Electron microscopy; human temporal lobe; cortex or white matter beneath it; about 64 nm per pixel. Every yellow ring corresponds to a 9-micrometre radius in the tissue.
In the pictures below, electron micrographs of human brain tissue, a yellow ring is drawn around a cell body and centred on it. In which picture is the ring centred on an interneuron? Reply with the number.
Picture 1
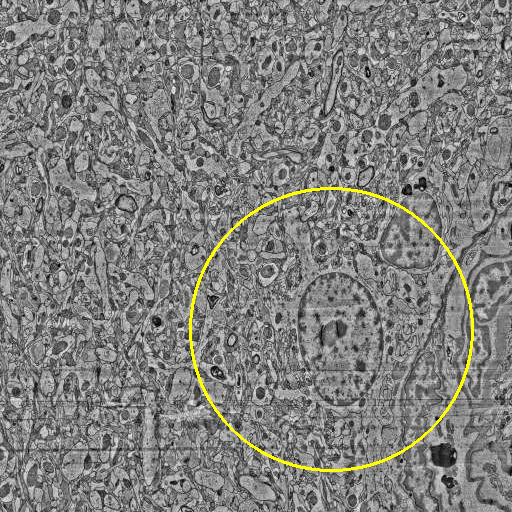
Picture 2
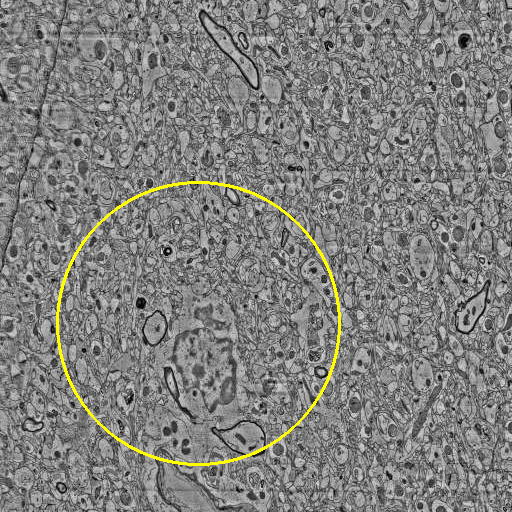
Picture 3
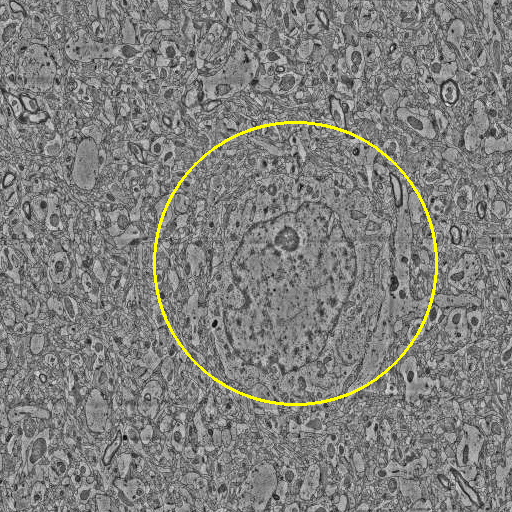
3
